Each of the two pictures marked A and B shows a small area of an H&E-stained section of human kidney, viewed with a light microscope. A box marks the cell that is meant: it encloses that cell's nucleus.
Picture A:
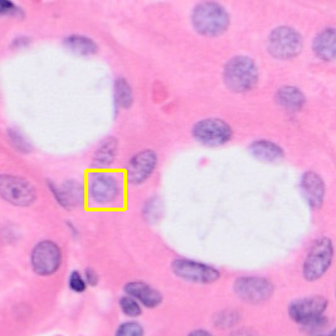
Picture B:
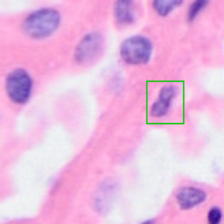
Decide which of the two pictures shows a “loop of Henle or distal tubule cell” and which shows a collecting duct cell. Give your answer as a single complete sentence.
Picture A is of a collecting duct cell, and picture B is of a “loop of Henle or distal tubule cell”.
